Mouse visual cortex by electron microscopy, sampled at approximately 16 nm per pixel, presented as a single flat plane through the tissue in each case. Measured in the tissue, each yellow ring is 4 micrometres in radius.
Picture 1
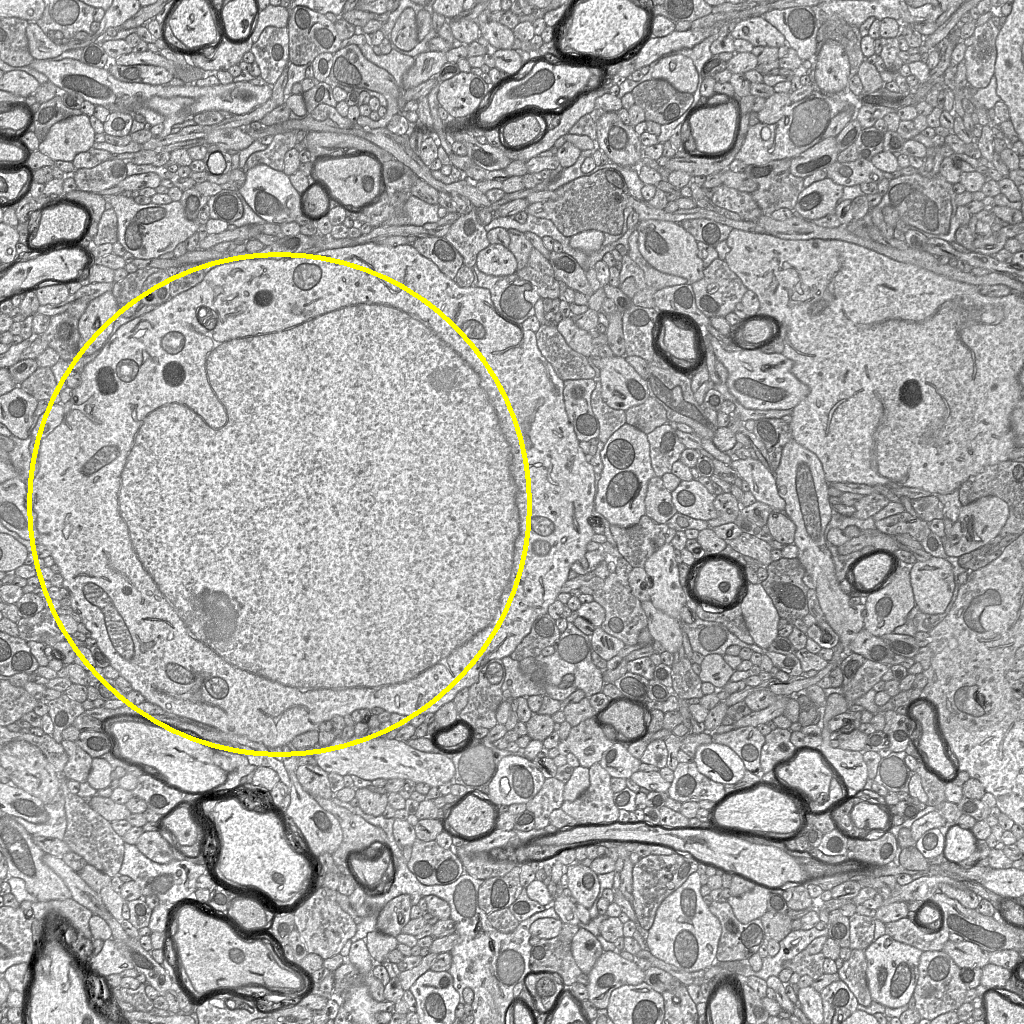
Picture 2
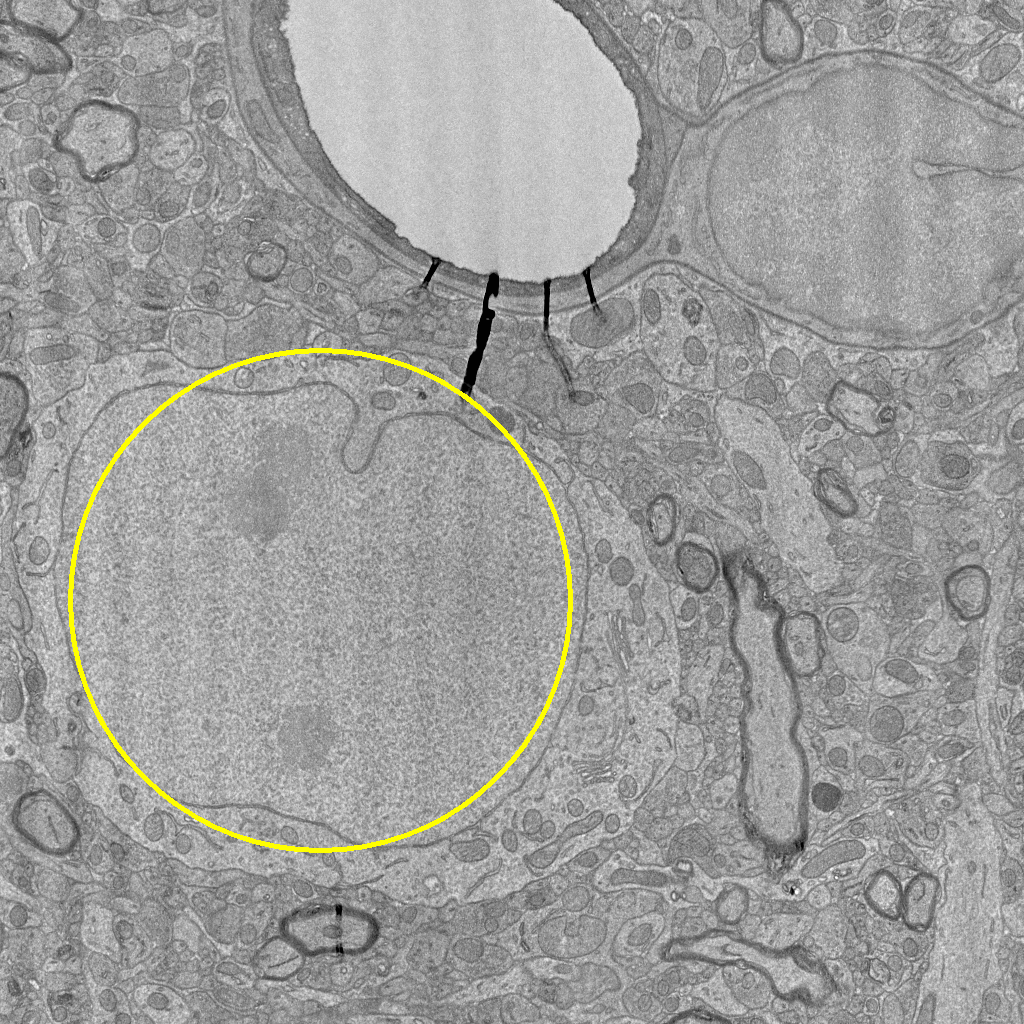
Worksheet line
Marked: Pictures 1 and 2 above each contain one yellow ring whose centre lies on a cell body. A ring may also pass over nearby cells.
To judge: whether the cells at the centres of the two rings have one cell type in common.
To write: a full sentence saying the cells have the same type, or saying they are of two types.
The cells at the centres of the rings in Picture 1 and Picture 2 have the same type.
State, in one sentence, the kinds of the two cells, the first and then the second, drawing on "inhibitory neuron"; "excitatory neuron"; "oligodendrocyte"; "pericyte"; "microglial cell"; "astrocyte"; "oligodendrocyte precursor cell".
The cell in the first picture is an excitatory neuron, and so is the one in the second.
